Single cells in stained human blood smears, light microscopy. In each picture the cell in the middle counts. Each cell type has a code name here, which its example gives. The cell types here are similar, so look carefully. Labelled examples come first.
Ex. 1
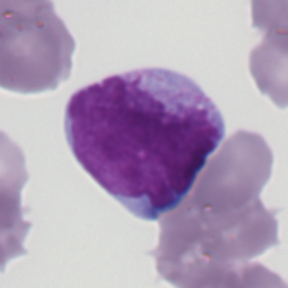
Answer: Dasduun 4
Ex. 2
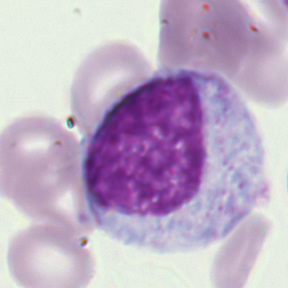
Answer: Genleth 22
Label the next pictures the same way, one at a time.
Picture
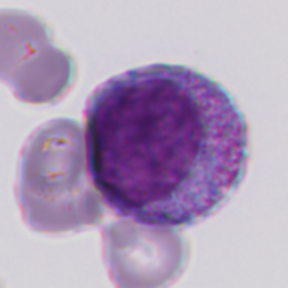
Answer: Genleth 22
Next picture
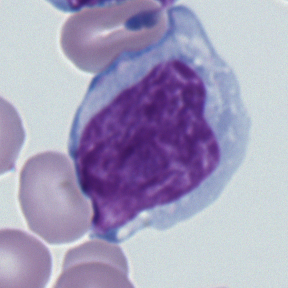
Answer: Dasduun 4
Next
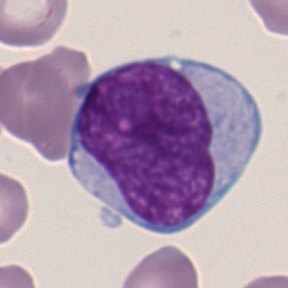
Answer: Dasduun 4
